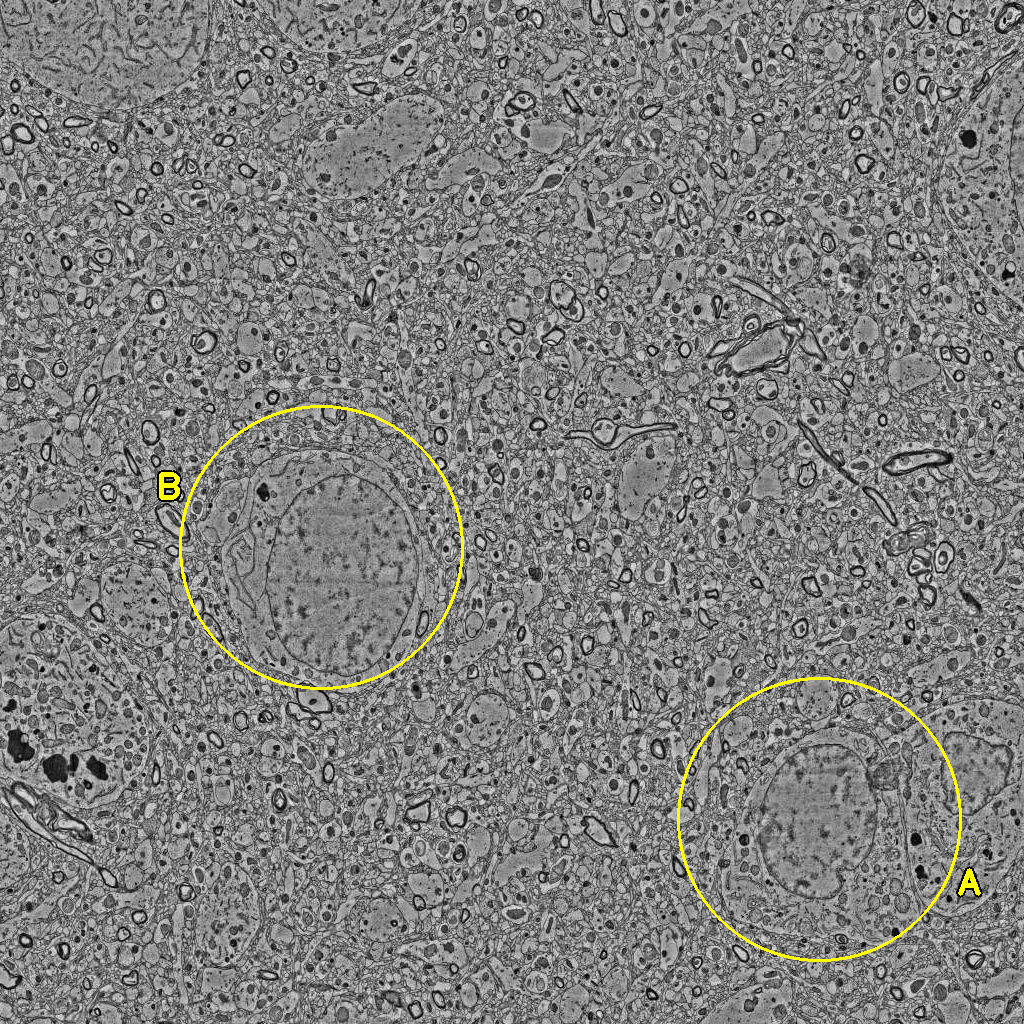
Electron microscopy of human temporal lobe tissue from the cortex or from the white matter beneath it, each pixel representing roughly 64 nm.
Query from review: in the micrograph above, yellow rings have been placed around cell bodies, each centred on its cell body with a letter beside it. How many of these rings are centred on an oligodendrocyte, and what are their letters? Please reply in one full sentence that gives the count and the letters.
No ring is centred on an oligodendrocyte, which makes the count zero.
